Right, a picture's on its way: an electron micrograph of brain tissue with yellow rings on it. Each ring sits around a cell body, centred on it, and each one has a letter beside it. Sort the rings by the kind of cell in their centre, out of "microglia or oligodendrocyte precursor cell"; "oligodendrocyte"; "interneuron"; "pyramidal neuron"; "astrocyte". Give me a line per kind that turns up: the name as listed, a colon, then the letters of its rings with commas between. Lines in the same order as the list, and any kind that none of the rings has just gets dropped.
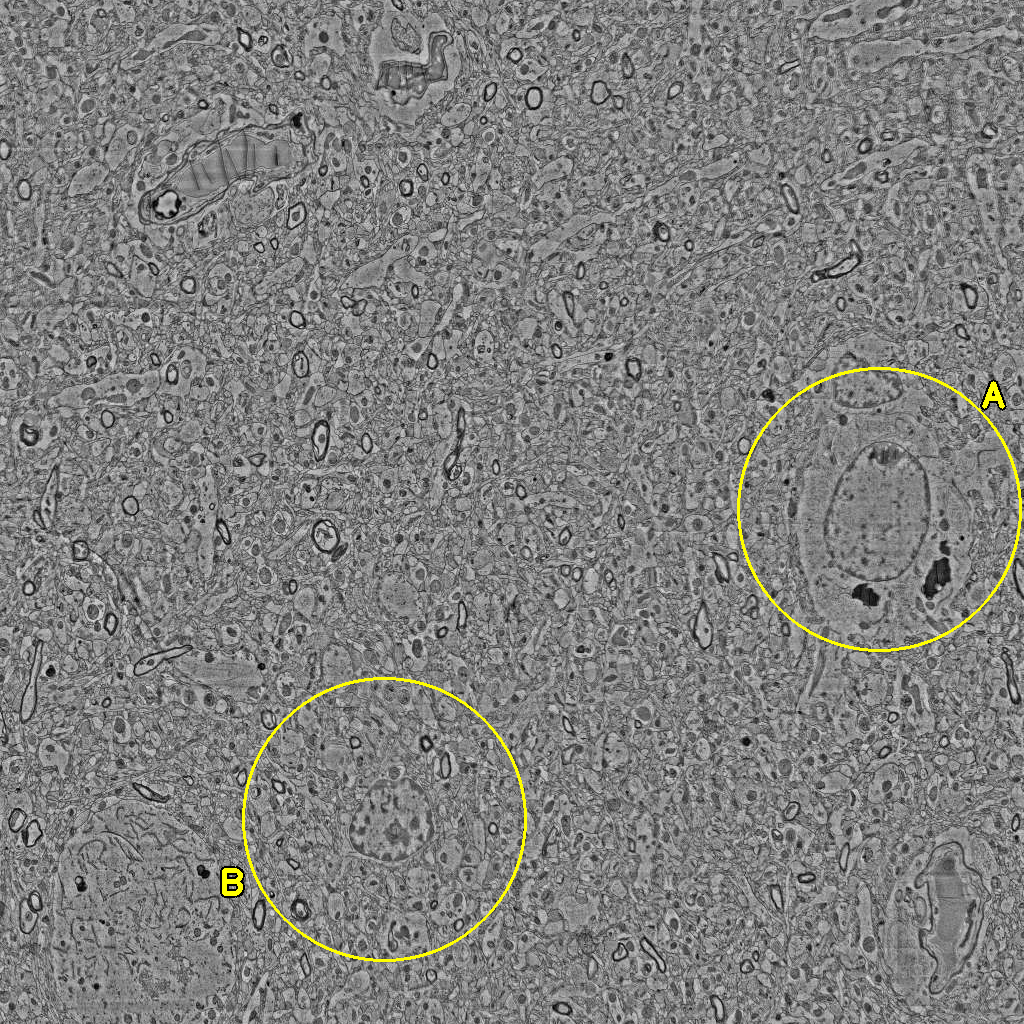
microglia or oligodendrocyte precursor cell: B
astrocyte: A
